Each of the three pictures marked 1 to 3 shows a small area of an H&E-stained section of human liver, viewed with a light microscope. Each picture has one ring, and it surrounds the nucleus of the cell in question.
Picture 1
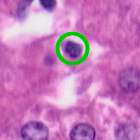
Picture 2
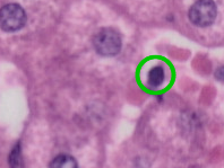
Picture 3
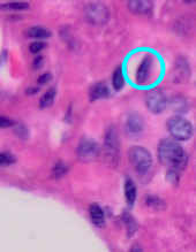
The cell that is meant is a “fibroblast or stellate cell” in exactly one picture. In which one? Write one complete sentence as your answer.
Picture 3 shows the “fibroblast or stellate cell”.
